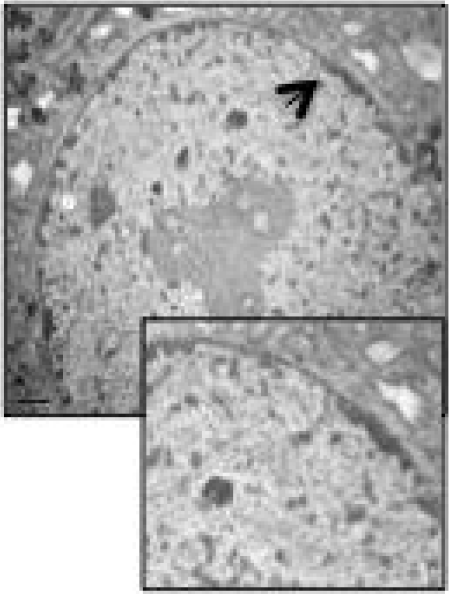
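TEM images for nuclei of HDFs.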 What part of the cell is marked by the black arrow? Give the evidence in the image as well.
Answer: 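Peripheral heterochromatin. The arrow points at a thin dark rim just inside the nuclear border. The nucleus is large and oval with granular contents.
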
